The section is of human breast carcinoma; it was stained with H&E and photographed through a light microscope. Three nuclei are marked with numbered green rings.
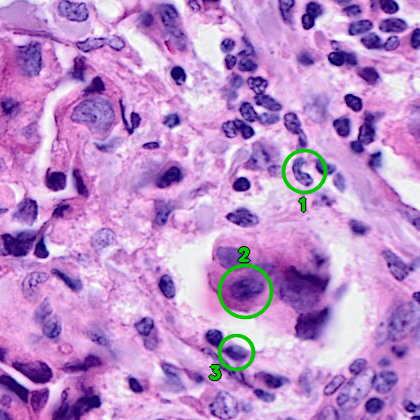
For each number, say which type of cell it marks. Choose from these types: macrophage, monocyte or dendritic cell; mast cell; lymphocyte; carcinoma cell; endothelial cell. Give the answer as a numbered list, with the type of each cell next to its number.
1. lymphocyte
2. carcinoma cell
3. lymphocyte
